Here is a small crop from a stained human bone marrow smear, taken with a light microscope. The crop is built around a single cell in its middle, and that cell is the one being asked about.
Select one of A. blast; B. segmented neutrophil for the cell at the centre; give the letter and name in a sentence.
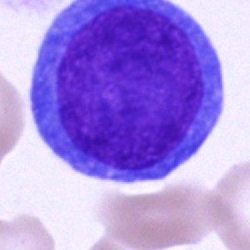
The cell in the middle is a blast, so option A is correct.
